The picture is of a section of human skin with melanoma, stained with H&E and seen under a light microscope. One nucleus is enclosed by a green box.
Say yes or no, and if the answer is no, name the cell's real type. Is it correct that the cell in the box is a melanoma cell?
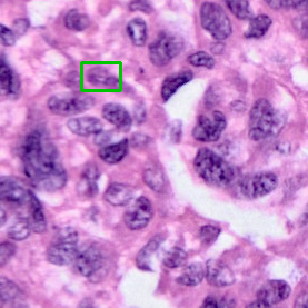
Yes.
